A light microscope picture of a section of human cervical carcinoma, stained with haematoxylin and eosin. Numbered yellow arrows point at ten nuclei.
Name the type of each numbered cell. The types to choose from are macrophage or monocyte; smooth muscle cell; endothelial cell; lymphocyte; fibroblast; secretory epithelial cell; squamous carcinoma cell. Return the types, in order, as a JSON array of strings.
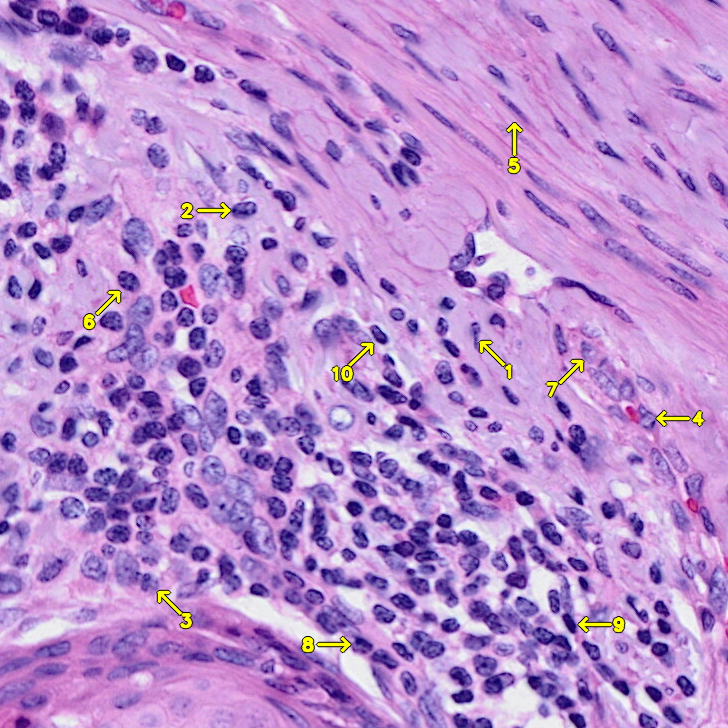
["fibroblast", "lymphocyte", "lymphocyte", "endothelial cell", "smooth muscle cell", "lymphocyte", "endothelial cell", "lymphocyte", "lymphocyte", "lymphocyte"]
